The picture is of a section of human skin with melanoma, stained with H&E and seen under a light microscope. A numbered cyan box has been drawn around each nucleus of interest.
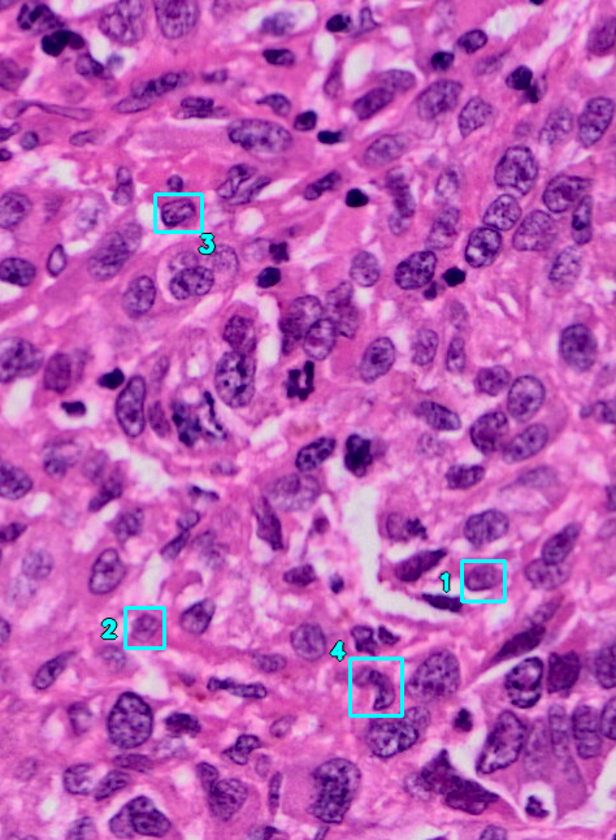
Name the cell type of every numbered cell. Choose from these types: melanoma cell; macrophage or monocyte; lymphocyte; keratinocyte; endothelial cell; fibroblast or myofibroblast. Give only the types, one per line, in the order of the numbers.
melanoma cell
melanoma cell
macrophage or monocyte
melanoma cell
